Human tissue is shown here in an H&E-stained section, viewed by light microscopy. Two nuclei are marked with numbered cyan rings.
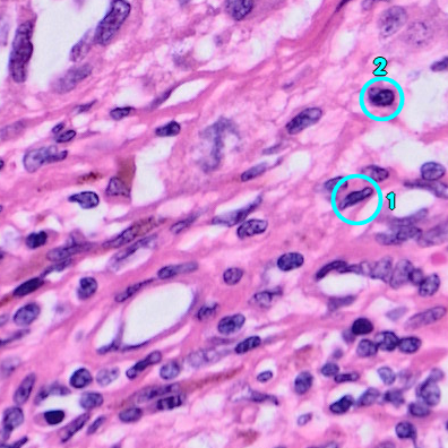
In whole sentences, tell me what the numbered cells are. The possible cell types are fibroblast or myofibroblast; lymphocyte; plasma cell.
Cell 1 is a lymphocyte. Cell 2 is a plasma cell.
